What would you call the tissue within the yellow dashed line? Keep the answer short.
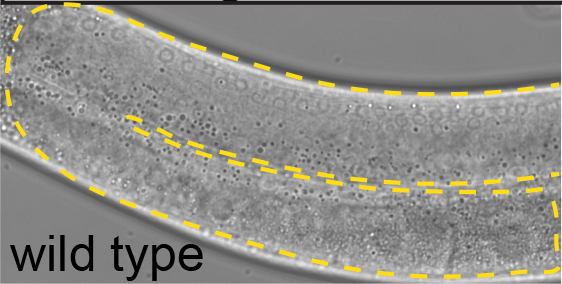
Gonad.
